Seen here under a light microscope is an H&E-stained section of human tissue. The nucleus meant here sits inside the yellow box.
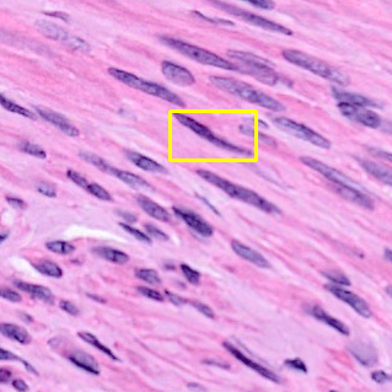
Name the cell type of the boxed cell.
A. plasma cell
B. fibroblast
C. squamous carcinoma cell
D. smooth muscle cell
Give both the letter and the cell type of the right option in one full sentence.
It is correct to say that the boxed cell is a smooth muscle cell, as option D does.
